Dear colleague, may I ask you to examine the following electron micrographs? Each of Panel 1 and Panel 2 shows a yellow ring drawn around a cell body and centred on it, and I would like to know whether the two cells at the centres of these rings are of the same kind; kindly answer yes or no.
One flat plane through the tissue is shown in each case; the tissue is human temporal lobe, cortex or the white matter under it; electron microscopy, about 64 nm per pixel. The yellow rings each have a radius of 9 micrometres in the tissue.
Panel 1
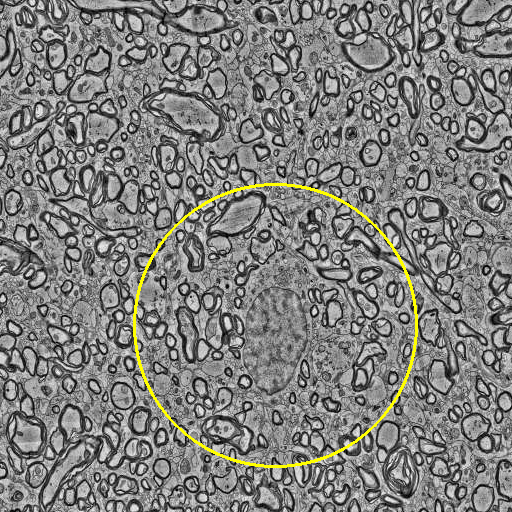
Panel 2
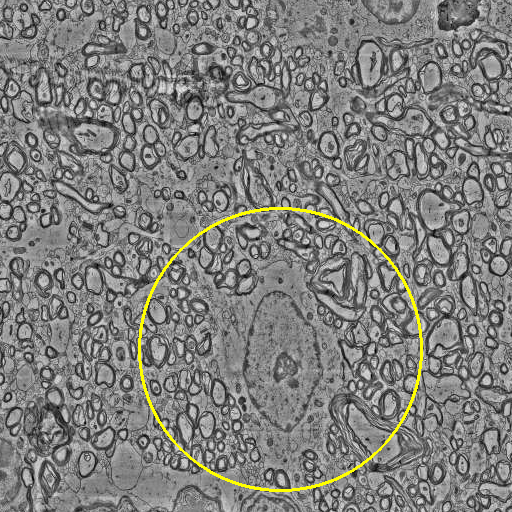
no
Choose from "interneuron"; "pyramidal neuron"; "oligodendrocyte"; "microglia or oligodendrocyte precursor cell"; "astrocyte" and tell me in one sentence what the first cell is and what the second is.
What the first ring is centred on is an oligodendrocyte; what the second ring is centred on is an astrocyte.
